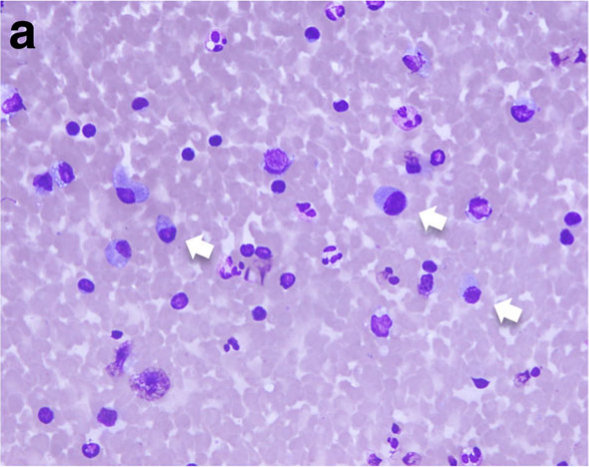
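This is a smear of fluid crowded with pale pink red blood cells, among which lie scattered nucleated cells of several kinds, including plasma cells. Small round cells with dense, dark purple nuclei and scant cytoplasm are common. Some cells have nuclei split into several lobes. Others are larger, with more abundant pale blue-grey cytoplasm. The plasma cells stand singly; each has a round, dark nucleus pushed to one side and a rim of pale blue cytoplasm. The nucleated cells are spread loosely and do not form clusters.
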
